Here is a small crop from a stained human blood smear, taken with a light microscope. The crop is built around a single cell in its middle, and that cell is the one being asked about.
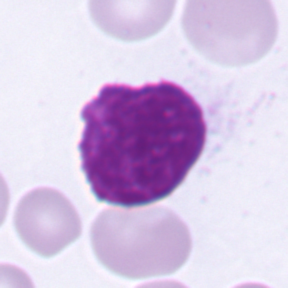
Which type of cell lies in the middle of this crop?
smudge cell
